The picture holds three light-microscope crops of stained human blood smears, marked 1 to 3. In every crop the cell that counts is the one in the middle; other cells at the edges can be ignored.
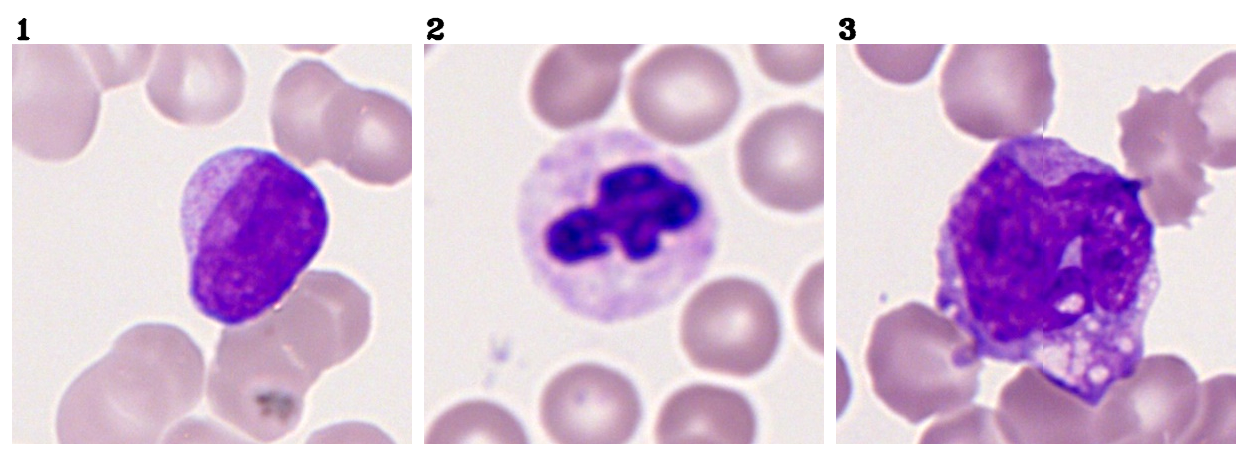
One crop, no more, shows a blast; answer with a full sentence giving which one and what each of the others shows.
The cell shown in crop 1 is a blast, whereas crop 2 is a neutrophil and crop 3 is a monocyte.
